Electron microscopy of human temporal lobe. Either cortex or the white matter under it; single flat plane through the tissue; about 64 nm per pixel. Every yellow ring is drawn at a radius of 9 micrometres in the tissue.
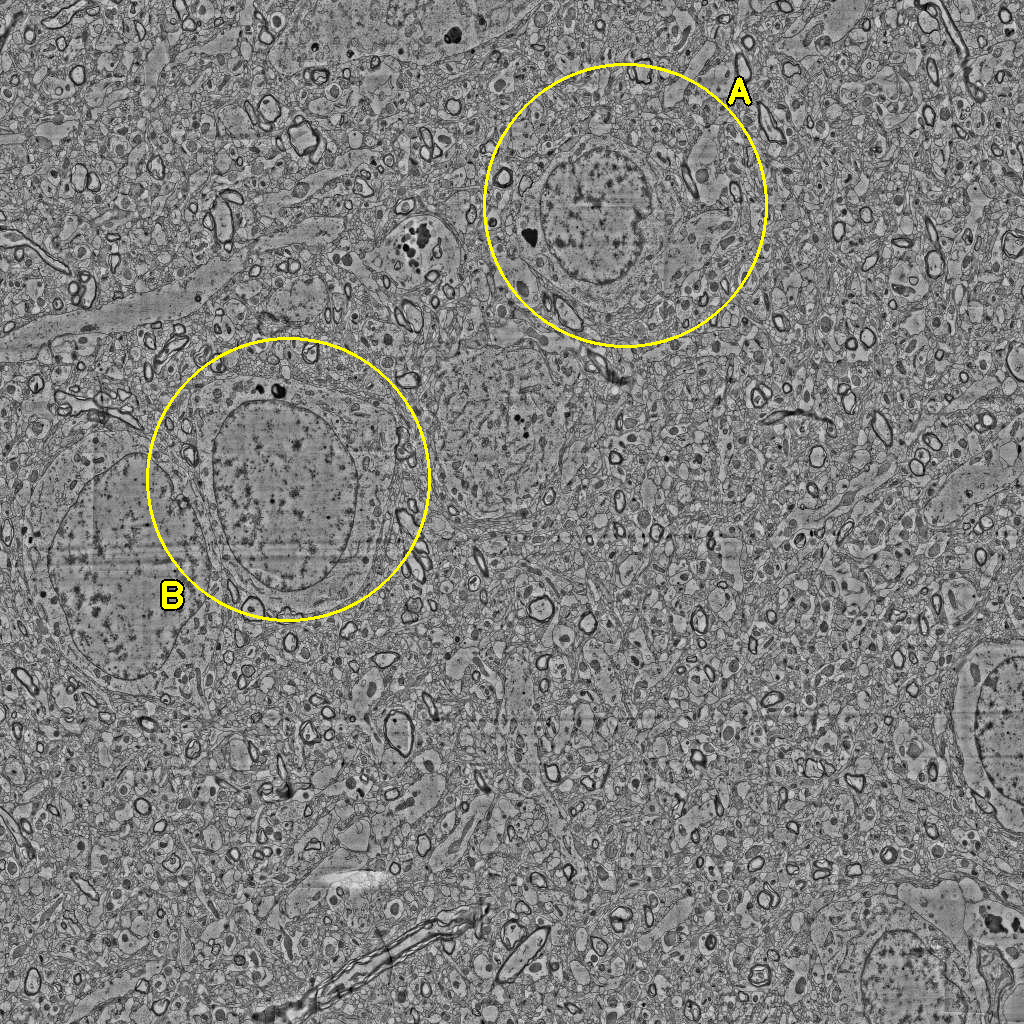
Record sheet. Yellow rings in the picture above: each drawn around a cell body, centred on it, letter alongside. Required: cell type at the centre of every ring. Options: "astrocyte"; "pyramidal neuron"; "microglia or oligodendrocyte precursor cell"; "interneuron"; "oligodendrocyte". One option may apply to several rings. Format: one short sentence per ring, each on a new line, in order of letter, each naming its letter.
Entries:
Ring A contains an interneuron at the centre.
Ring B contains a pyramidal neuron at the centre.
